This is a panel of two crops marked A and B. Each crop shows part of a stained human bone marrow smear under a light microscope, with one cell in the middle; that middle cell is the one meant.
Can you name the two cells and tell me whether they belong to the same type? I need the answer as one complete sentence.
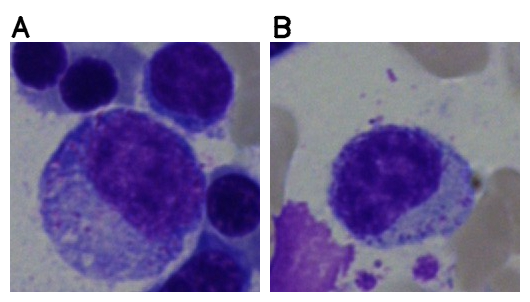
No, a promyelocyte is shown in crop A and a myelocyte in crop B.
